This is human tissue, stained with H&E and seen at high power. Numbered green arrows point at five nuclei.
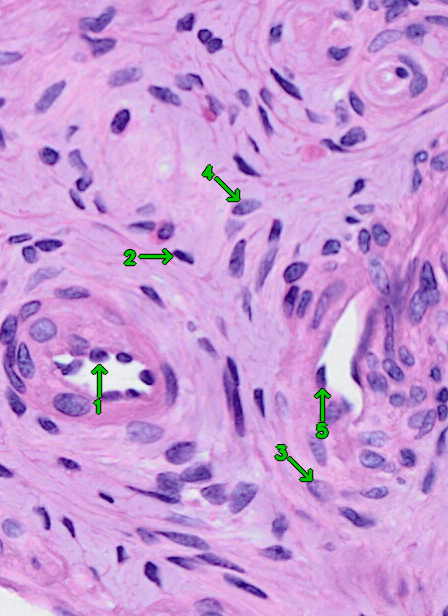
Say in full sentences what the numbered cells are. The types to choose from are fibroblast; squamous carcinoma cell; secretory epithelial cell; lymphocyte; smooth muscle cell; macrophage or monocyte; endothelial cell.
Cells 1 and 5 are endothelial cells. Cells 2 and 4 are fibroblasts. Cell 3 is a smooth muscle cell.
